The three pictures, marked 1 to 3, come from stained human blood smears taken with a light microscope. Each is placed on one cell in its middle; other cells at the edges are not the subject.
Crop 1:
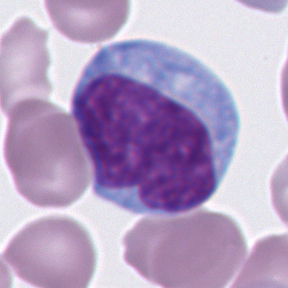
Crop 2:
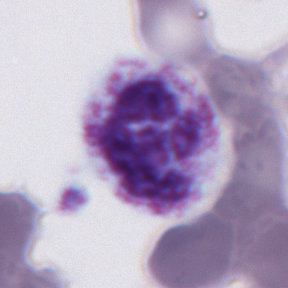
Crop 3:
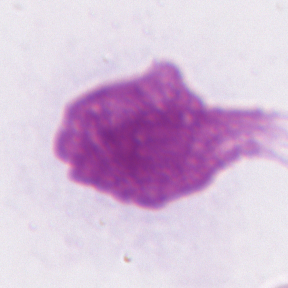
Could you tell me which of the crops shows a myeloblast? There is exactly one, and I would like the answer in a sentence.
Crop 1 is the one to choose: it shows a myeloblast.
